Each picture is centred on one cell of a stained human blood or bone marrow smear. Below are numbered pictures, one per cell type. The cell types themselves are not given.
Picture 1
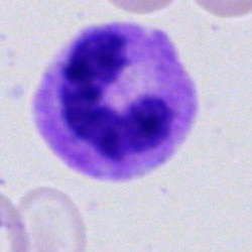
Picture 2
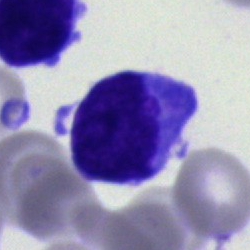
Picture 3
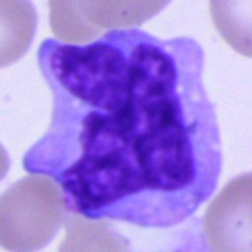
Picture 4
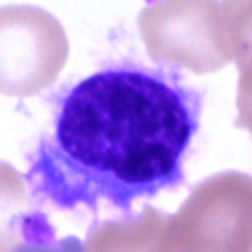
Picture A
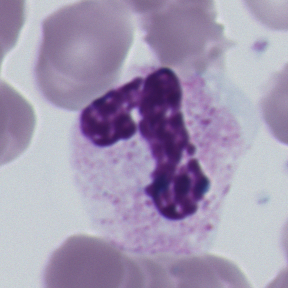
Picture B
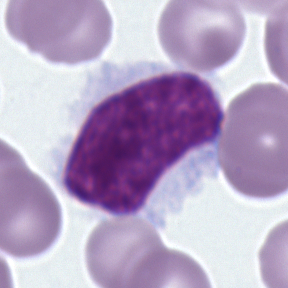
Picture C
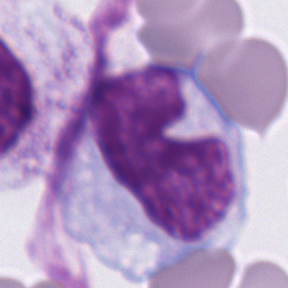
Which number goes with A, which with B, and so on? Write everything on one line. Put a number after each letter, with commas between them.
A 1, B 4, C 3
